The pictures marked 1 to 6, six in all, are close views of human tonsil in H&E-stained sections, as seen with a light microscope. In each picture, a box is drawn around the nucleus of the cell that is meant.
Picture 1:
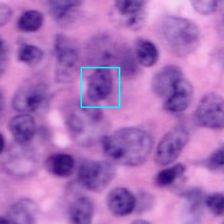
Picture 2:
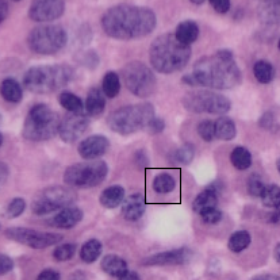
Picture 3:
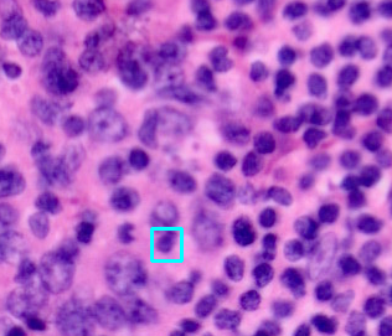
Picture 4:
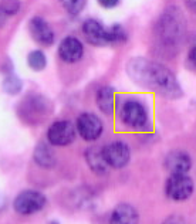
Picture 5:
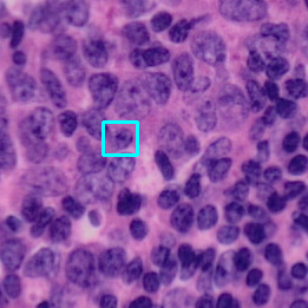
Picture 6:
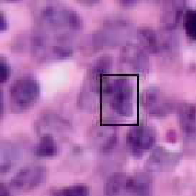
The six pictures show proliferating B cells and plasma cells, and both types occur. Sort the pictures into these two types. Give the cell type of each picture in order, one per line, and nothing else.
proliferating B cell
plasma cell
proliferating B cell
plasma cell
proliferating B cell
proliferating B cell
